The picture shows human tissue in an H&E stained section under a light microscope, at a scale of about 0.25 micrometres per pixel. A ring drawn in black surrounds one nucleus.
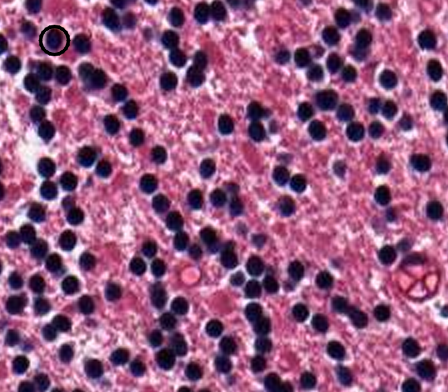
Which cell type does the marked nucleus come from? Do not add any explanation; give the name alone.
cerebellar granule cell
